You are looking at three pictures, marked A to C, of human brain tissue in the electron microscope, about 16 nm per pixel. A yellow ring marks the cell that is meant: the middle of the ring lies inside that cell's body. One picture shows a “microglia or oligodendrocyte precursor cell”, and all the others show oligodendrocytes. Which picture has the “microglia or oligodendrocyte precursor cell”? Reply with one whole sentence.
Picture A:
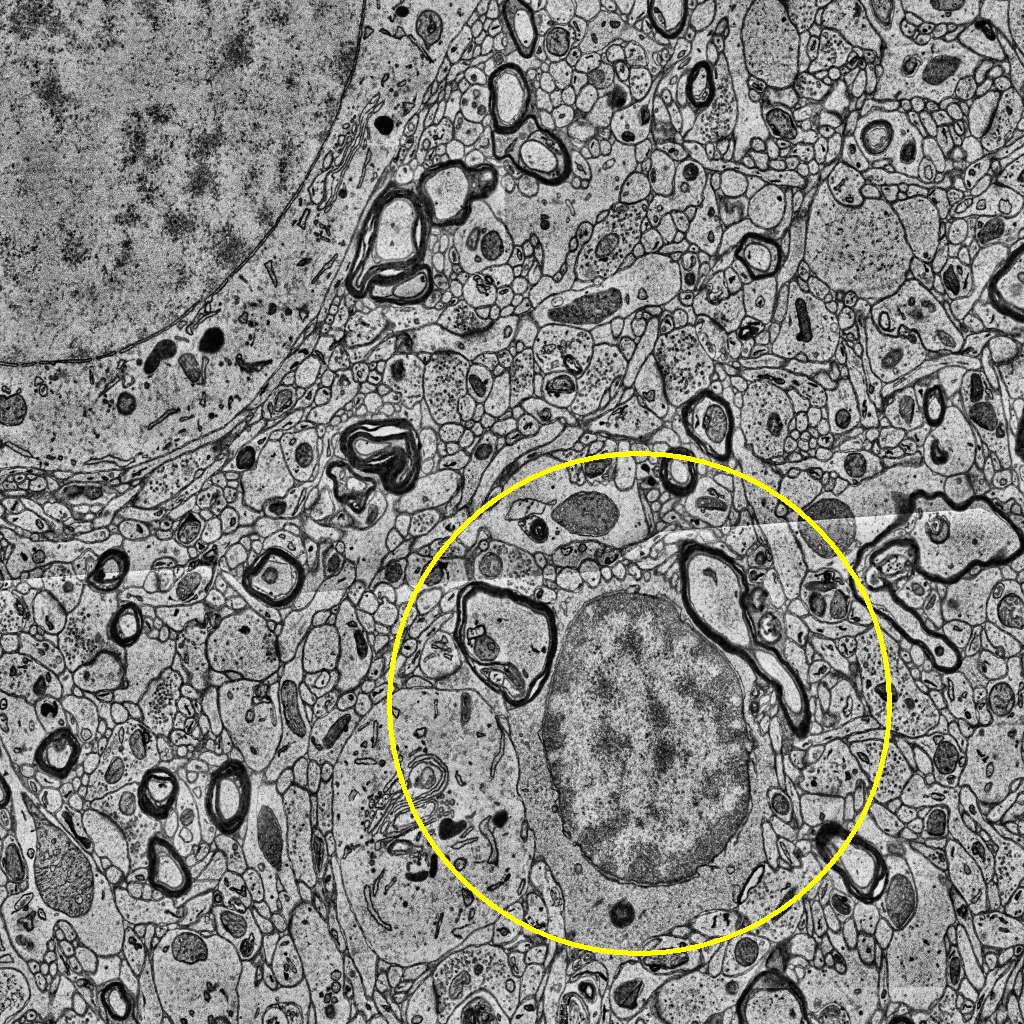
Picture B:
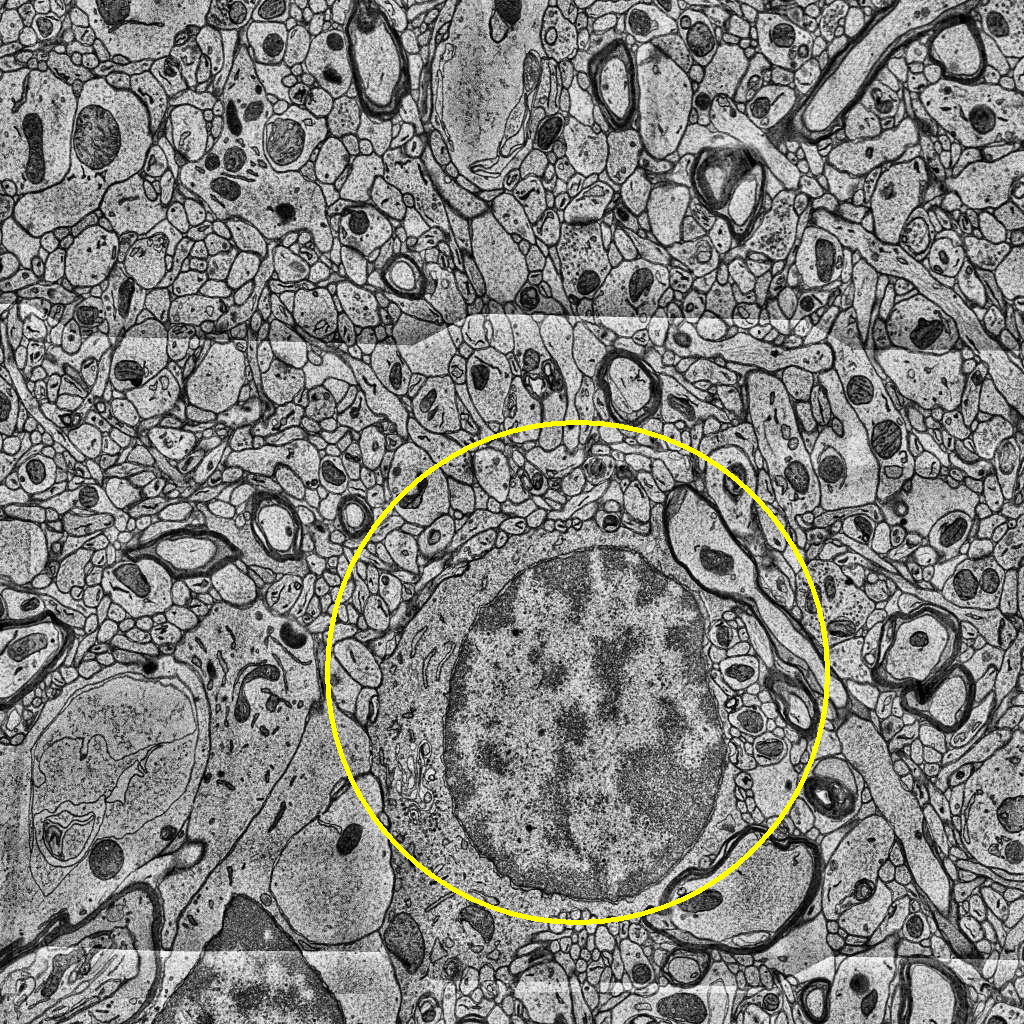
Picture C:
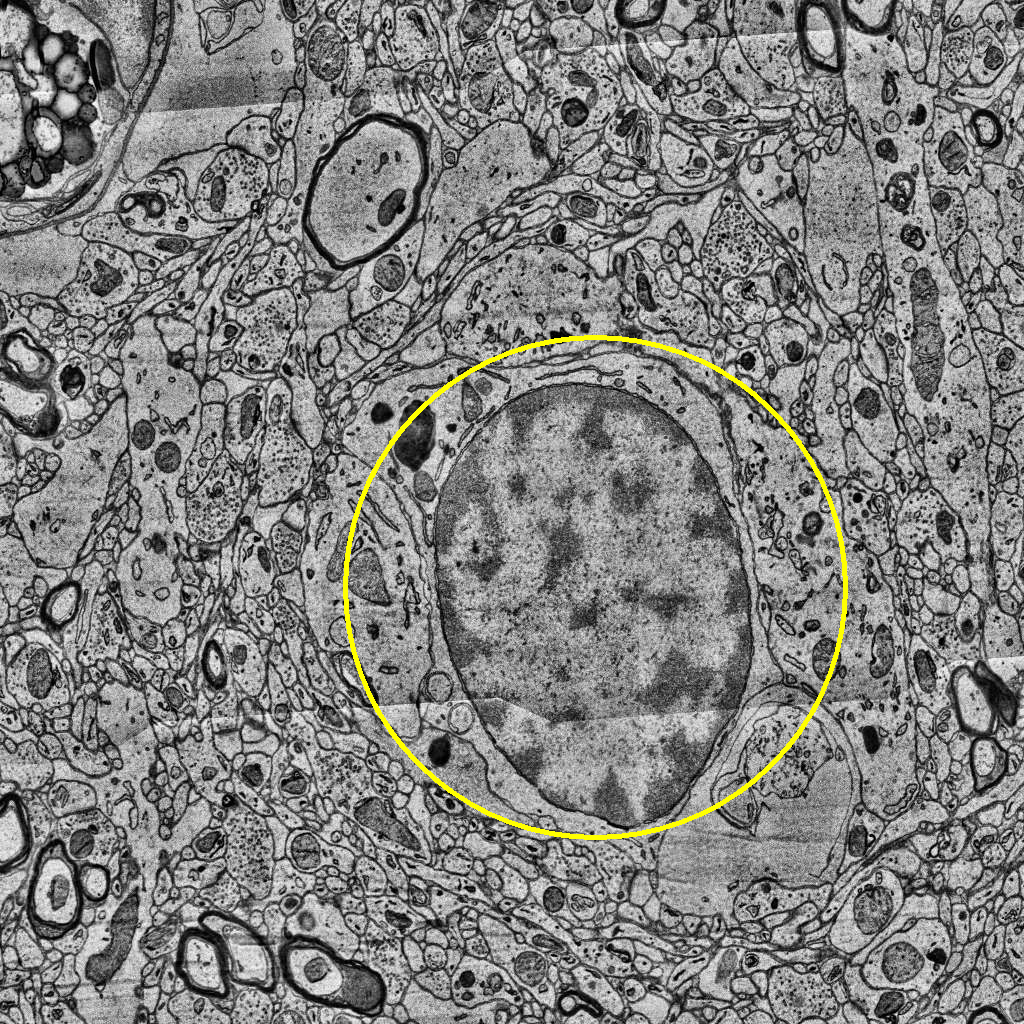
The picture with the “microglia or oligodendrocyte precursor cell” is C.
